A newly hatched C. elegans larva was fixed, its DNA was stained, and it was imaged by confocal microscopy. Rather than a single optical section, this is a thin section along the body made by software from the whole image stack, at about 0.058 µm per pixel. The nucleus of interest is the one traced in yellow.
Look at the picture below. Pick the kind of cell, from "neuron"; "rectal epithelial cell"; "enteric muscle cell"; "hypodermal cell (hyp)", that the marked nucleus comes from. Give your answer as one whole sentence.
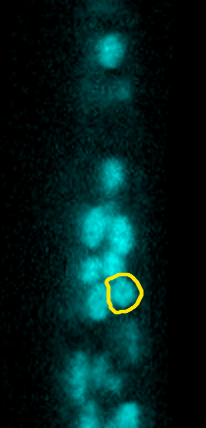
It belongs to a neuron.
